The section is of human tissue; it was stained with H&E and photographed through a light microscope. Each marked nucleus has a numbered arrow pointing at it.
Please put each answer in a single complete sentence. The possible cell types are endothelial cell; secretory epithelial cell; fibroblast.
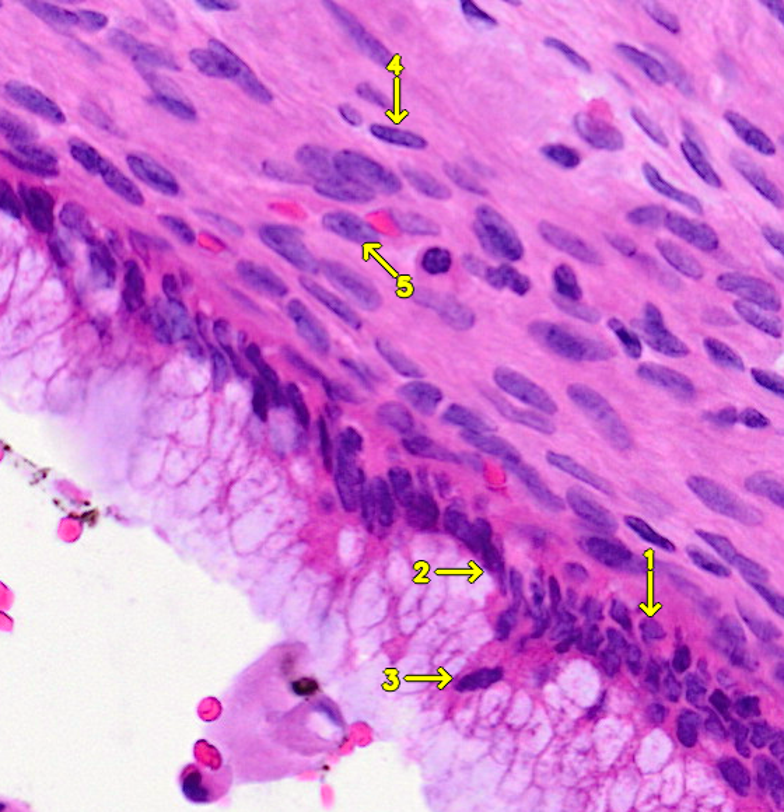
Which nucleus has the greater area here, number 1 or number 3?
It is nucleus 3, which covers about 2 times the area of nucleus 1.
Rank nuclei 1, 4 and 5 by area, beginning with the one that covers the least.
Smallest first, the nuclei run 1, 4, 5.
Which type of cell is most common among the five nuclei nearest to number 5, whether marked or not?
Most of the five nuclei nearest to number 5 are those of fibroblasts.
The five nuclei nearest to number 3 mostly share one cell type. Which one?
Secretory epithelial cells account for more than half of the five nuclei nearest to number 3.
